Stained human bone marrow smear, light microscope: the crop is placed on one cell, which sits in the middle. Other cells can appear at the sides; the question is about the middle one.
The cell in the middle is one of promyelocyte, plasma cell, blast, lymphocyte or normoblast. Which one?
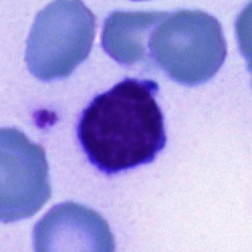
lymphocyte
